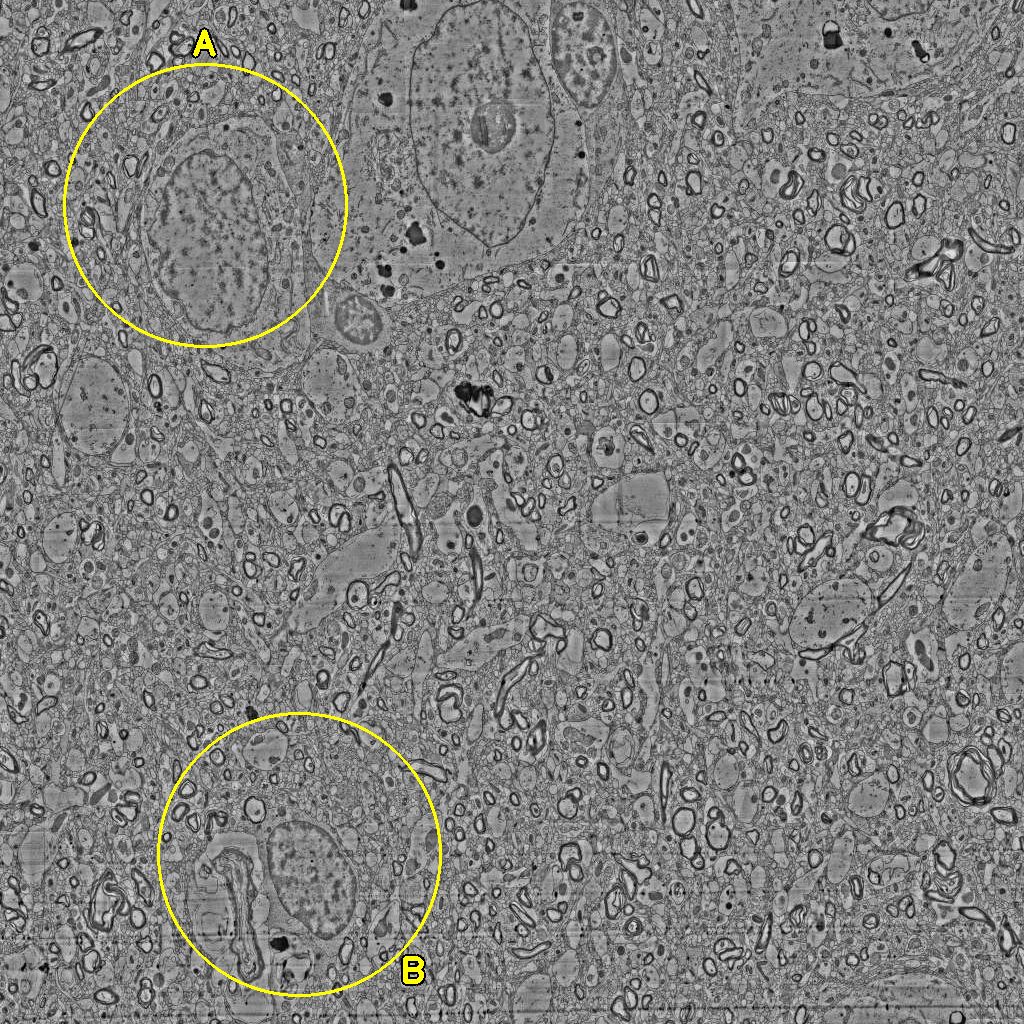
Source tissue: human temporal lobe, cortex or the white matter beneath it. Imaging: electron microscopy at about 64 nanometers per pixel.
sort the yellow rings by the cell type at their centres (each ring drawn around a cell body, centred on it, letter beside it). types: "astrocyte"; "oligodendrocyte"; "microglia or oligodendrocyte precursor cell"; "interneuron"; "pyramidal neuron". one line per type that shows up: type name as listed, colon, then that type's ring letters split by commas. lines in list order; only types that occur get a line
oligodendrocyte: B
interneuron: A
